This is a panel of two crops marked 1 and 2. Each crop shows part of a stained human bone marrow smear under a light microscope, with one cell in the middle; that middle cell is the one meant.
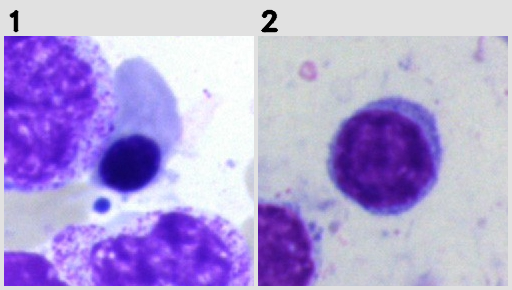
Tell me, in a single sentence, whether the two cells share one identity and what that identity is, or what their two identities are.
No, crop 1 depicts an erythroblast; crop 2 depicts a lymphocyte.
